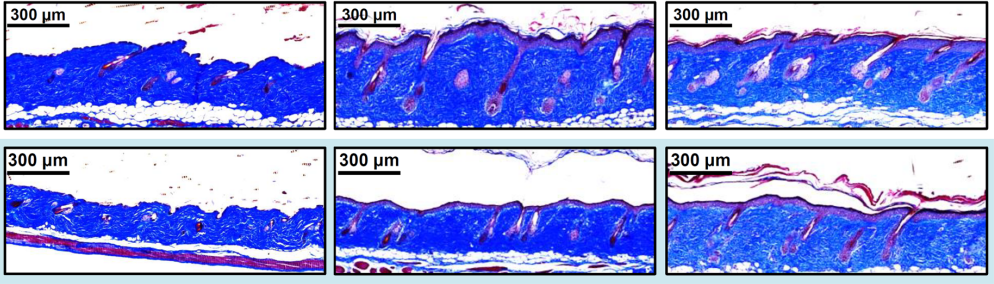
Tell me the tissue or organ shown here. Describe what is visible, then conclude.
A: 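A thin red-purple surface layer overlies a broad blue-stained layer. Hair follicles run obliquely through the blue-stained layer. Loose white tissue and a thin layer lie beneath the blue layer.
Hence: skin.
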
